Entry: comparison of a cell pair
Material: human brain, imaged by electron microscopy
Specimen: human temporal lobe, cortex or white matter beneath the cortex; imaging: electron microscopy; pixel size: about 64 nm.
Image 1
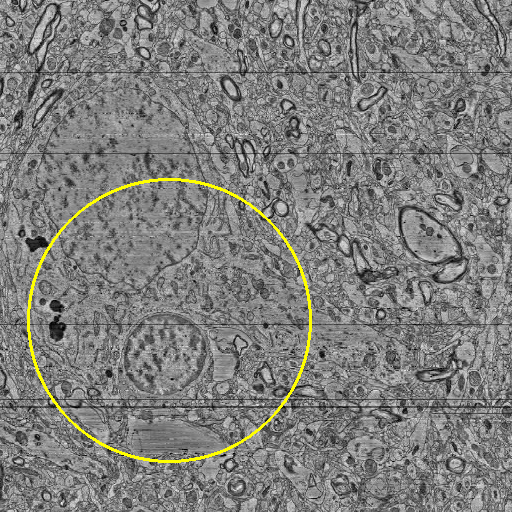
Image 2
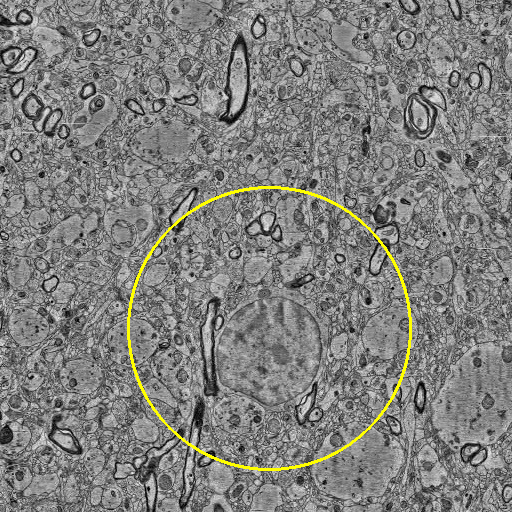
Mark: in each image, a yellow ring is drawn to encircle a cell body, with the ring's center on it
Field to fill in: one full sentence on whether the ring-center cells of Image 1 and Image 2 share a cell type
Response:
Yes, Image 1 and Image 2 each show a ring-center cell of one shared type.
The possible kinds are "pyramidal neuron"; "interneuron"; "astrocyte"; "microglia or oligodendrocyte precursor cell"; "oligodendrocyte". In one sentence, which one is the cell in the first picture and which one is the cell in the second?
In each of the two pictures, the ringed cell is an oligodendrocyte.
